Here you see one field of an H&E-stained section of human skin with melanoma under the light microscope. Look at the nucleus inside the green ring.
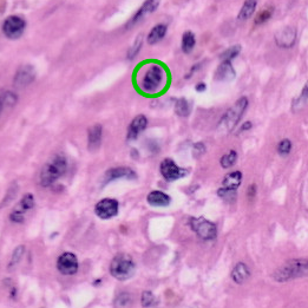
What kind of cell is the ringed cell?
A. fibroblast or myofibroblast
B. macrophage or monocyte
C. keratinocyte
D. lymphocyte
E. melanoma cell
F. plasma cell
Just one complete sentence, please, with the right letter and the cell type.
Given that the ringed cell is a plasma cell, option F is the correct one.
